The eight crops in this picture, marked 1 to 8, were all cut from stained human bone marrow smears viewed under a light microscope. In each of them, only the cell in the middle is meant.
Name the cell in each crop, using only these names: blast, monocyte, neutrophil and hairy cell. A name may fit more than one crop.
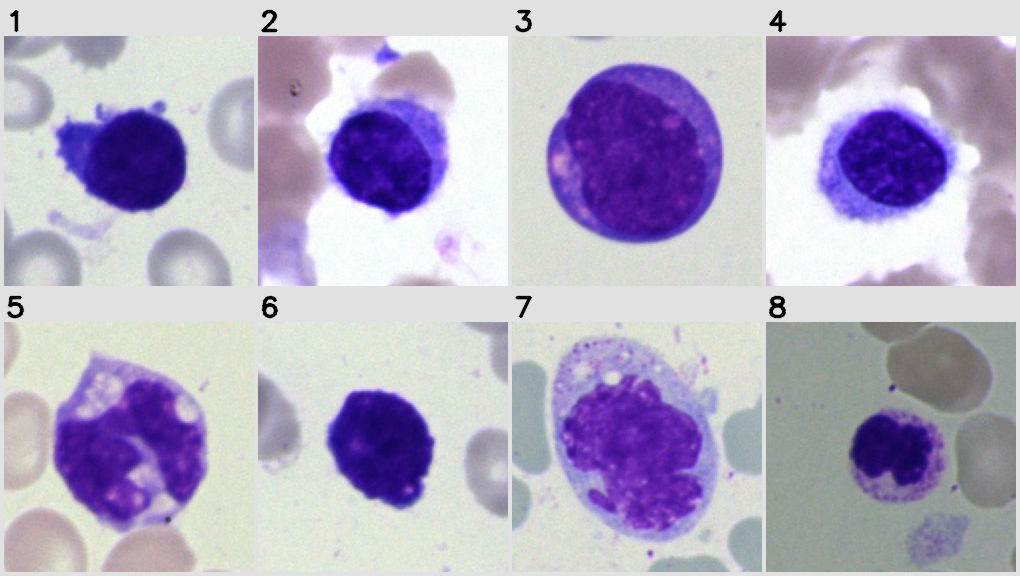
1: blast
2: hairy cell
3: blast
4: hairy cell
5: monocyte
6: blast
7: monocyte
8: neutrophil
